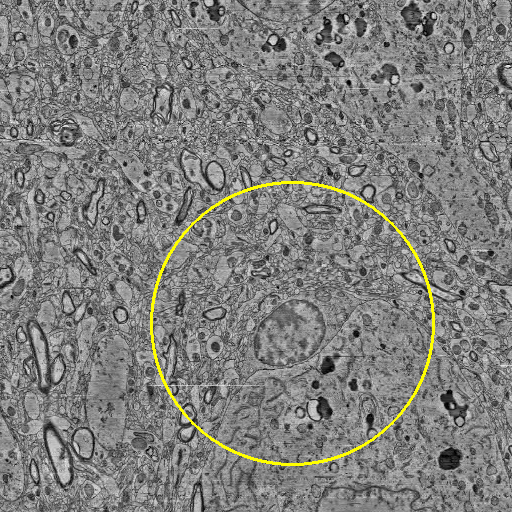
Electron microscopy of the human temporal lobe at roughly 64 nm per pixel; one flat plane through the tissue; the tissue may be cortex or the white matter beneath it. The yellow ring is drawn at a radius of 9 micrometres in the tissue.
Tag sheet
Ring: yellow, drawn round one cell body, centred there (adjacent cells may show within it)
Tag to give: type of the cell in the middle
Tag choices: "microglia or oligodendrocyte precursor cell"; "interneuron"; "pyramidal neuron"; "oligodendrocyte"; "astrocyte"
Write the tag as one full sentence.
I tag the cell centred in the yellow ring as an oligodendrocyte in this picture.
